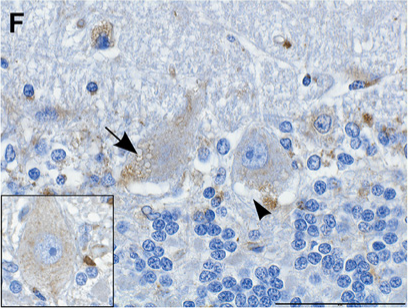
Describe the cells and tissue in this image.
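This is cerebellar cortex with a pale blue fibrillar upper layer and a lower layer of closely packed small round blue nuclei, with large neurons lying at the border between them. One large neuron, marked by an arrow, has a cytoplasm that looks bubbly, with many small brown-rimmed granules and clear spaces.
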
